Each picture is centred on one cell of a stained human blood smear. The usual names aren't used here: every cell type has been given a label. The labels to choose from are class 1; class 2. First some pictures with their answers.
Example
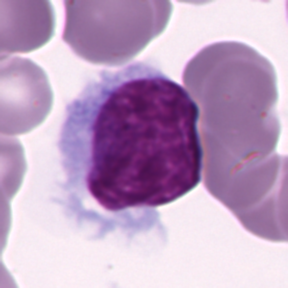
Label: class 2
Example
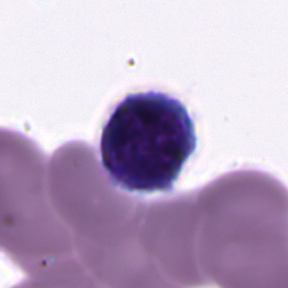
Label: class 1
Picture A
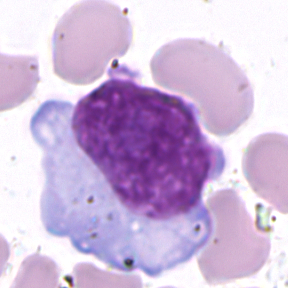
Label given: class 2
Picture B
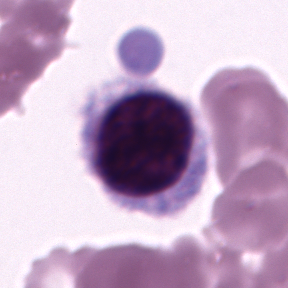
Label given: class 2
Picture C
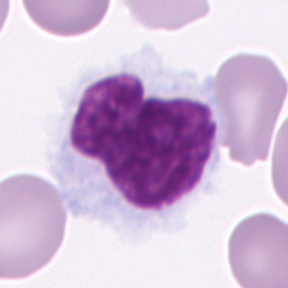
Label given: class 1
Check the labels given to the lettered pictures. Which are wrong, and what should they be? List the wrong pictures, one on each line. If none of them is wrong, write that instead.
Wrong: A (class 2); correct: class 1
Wrong: C (class 1); correct: class 2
